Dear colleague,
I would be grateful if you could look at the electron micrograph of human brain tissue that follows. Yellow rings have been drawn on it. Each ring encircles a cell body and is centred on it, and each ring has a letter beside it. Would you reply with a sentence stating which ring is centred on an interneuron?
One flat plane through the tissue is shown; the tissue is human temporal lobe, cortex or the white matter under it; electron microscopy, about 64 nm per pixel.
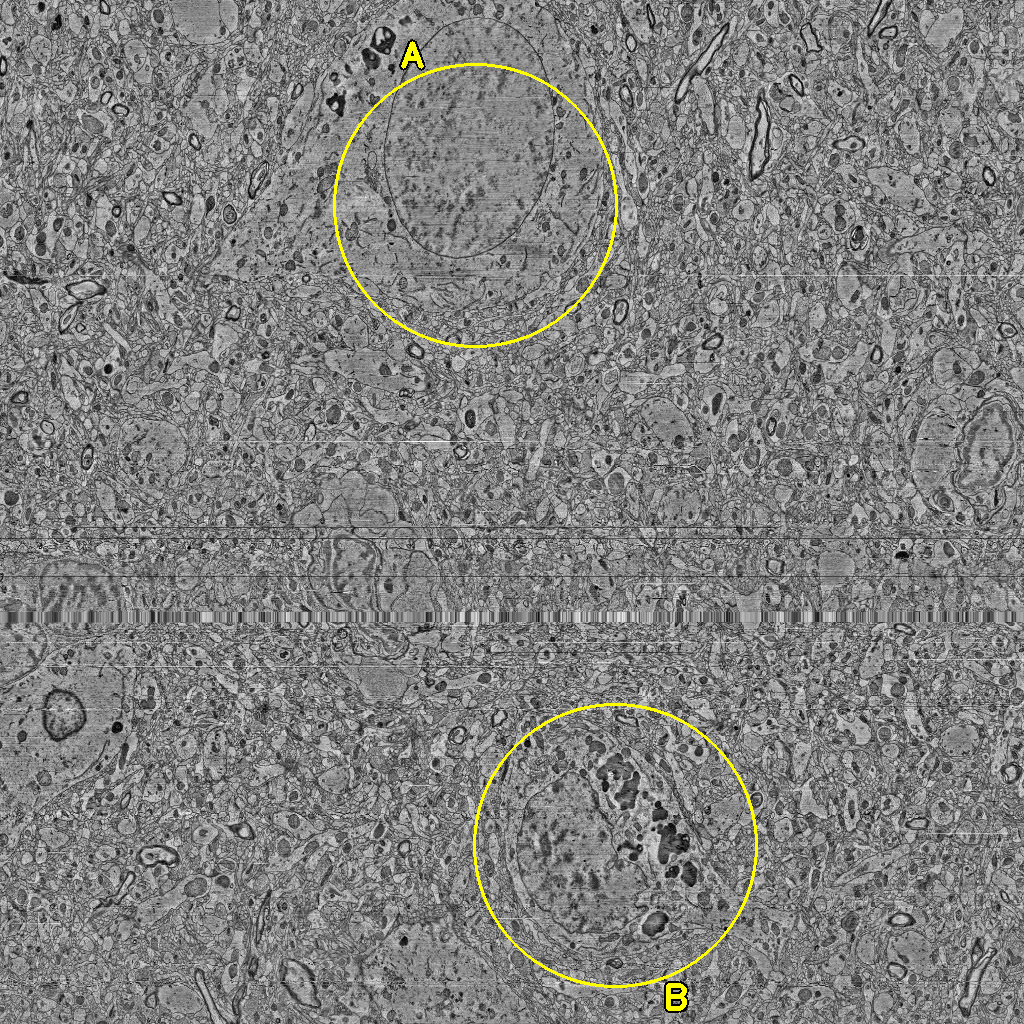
The ring centred on it is ring B.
